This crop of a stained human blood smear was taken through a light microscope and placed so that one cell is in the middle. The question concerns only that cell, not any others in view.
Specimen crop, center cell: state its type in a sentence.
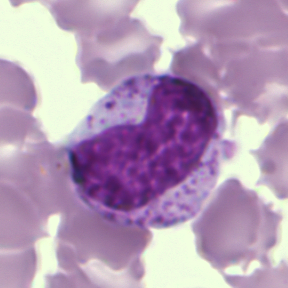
The cell under consideration, at the middle of the crop, is a metamyelocyte.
